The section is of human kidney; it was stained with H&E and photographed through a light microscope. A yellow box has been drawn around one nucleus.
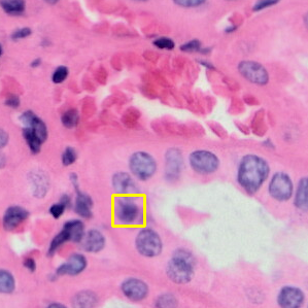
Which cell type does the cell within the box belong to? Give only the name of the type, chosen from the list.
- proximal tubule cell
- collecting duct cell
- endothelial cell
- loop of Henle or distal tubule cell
collecting duct cell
